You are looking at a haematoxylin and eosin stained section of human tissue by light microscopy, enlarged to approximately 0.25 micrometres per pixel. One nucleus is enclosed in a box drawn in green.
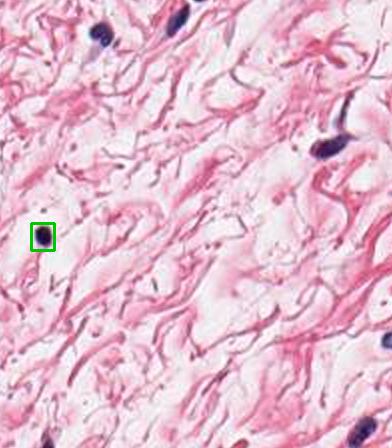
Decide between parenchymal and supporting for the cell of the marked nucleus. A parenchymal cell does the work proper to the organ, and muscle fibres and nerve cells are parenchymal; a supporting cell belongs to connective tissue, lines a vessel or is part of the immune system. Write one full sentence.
The marked nucleus forms part of a supporting cell.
